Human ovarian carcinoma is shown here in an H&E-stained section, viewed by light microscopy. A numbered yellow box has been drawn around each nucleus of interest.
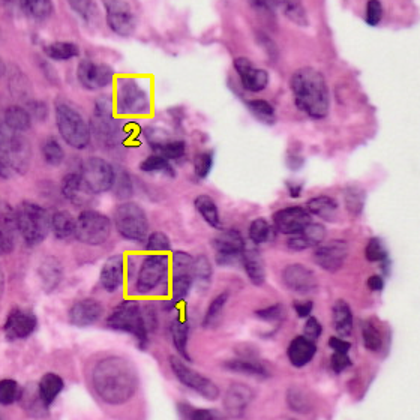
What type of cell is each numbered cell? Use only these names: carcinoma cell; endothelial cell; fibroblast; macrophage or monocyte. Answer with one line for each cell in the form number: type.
1: carcinoma cell
2: macrophage or monocyte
